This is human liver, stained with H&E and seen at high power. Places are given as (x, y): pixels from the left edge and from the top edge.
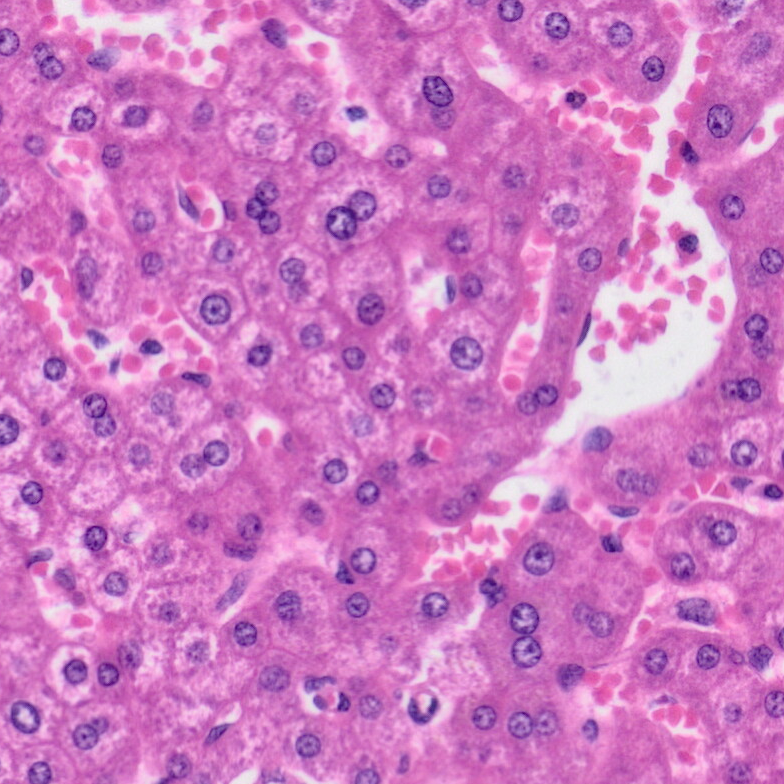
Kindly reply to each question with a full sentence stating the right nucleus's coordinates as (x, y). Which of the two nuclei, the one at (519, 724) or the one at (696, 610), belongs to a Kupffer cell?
Between the two nuclei, the one sitting at (696, 610) belongs to a Kupffer cell.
